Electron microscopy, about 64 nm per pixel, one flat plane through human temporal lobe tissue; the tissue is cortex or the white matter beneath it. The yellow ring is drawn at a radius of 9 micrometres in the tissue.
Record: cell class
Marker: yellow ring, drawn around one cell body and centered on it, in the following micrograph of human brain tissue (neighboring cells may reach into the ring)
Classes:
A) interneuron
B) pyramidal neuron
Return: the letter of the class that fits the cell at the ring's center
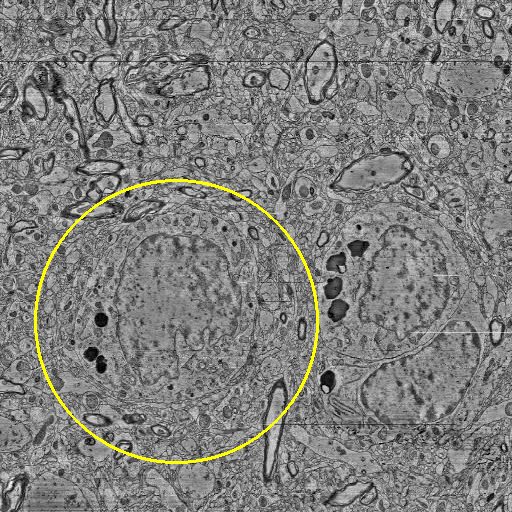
A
